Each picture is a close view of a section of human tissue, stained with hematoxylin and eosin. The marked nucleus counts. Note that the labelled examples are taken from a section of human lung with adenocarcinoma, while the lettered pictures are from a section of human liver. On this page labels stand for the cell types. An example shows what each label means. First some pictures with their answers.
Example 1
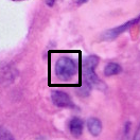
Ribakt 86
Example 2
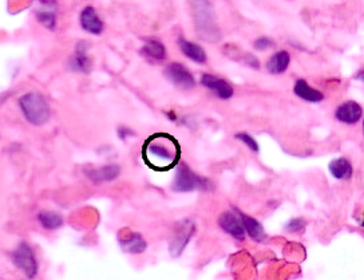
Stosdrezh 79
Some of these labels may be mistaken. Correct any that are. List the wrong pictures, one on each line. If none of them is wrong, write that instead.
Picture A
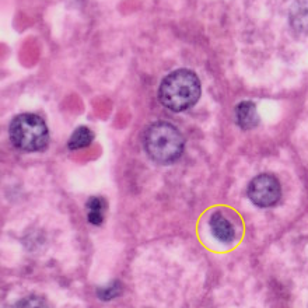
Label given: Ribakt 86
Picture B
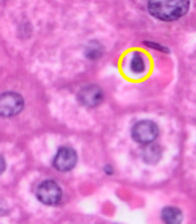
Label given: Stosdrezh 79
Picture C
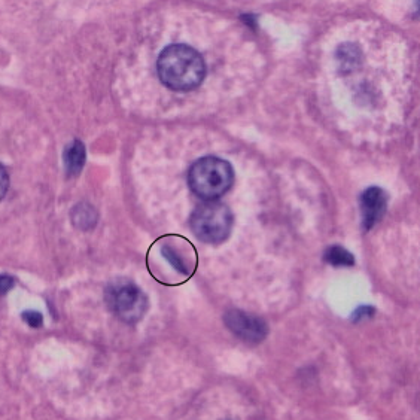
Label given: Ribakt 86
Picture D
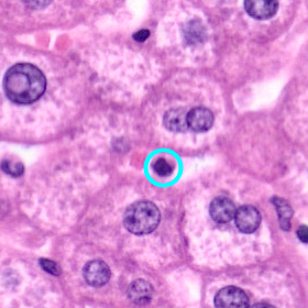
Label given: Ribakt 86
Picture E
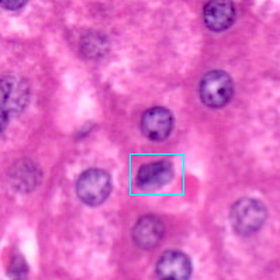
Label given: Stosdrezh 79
B: Ribakt 86, not Stosdrezh 79
C: Stosdrezh 79, not Ribakt 86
